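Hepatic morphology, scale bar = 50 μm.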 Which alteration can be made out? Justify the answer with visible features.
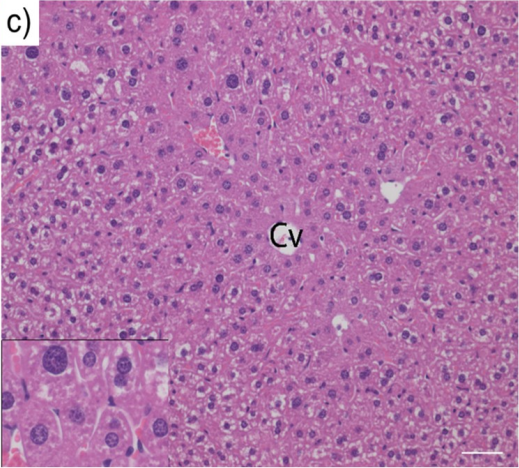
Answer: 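In the inset, many nuclei are large and round with dark purple staining. Nuclei vary markedly in size between neighbouring cells. The answer: enlarged hyperchromatic nuclei.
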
